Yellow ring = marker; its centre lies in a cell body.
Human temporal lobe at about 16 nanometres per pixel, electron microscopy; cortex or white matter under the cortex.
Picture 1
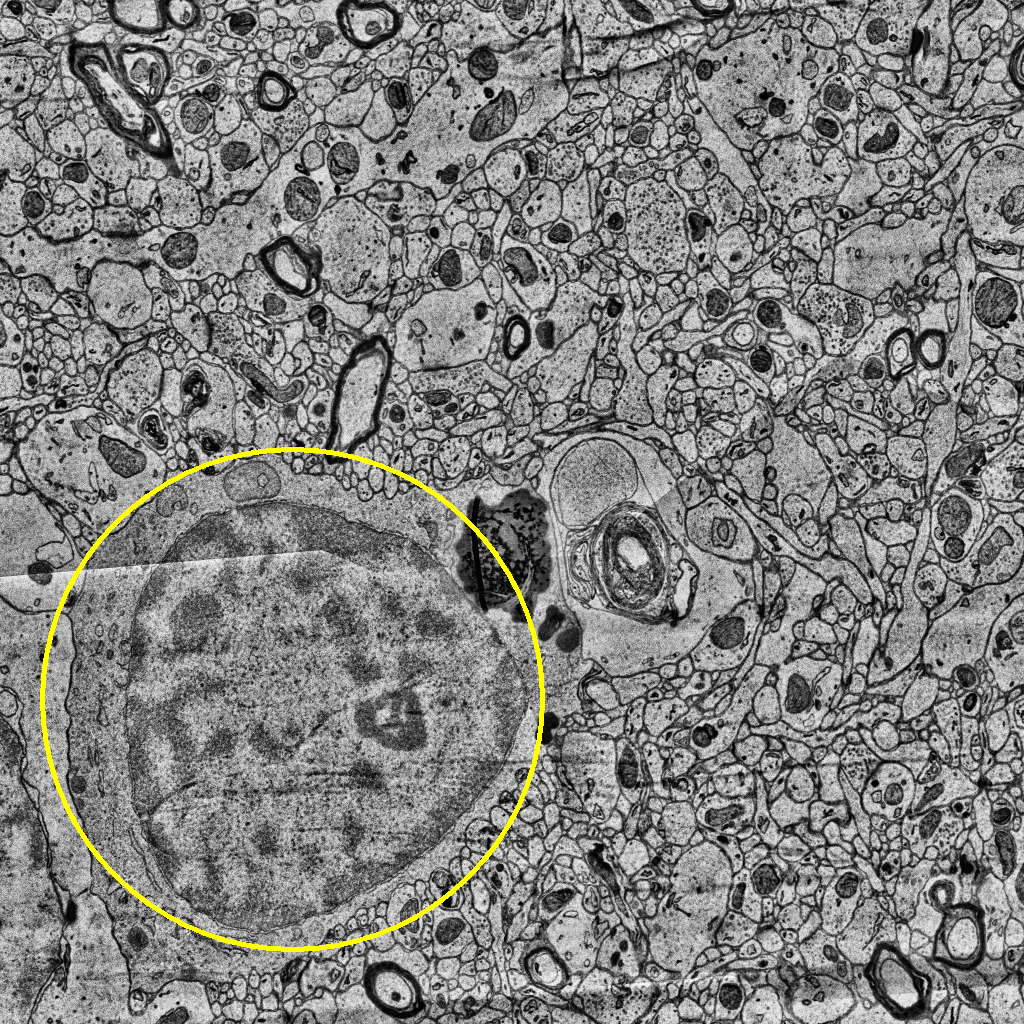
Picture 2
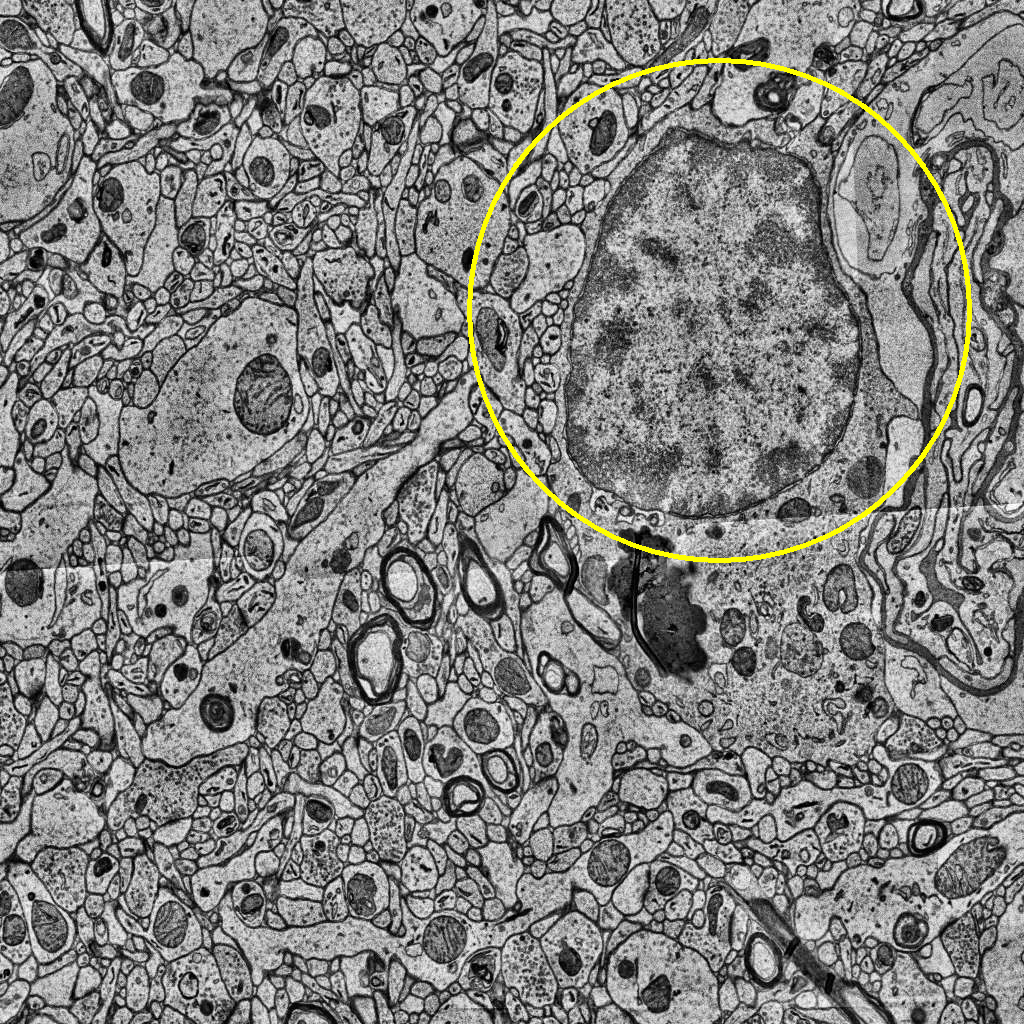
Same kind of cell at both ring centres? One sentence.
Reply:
Yes, they are the same kind of cell.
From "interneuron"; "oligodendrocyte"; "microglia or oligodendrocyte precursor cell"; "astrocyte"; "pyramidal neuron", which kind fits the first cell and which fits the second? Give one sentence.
Both cells are the same kind, each one being an oligodendrocyte.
